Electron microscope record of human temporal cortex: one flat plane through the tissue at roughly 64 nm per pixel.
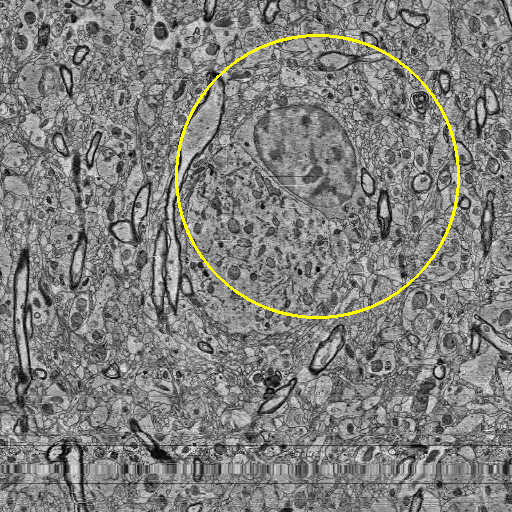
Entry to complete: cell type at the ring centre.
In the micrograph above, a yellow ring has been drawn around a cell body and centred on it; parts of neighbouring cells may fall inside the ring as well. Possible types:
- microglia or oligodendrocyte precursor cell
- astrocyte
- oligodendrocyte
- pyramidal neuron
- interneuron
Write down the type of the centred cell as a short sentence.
The ring is centred on an oligodendrocyte.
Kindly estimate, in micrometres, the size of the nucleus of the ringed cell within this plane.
The nucleus measures about 8 by 6 micrometres in this plane.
